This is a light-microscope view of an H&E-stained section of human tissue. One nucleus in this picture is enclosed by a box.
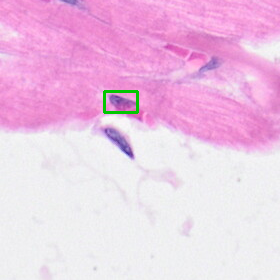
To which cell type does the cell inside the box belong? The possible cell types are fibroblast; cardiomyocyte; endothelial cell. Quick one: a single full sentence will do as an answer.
In this tissue sample, the cell inside the box is a fibroblast.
